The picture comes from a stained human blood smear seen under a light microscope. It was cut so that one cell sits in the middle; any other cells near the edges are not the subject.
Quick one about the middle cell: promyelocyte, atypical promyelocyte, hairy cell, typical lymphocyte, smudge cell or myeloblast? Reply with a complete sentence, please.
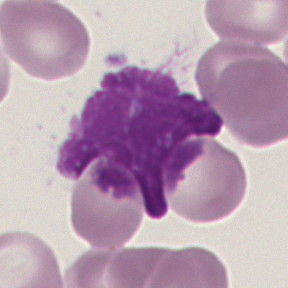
Here the centrally located cell is a smudge cell.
